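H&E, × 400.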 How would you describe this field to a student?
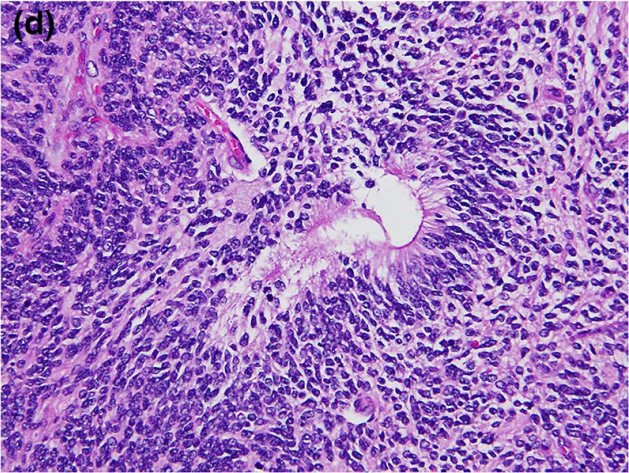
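This is immature neuroepithelium, a sheet of small primitive cells packed closely together. Their nuclei are dark purple, oval to elongated and crowded, with very little pink cytoplasm between them. In the centre the cells line up radially around a small clear lumen, forming a rosette that resembles the developing neural tube. Only a few thin blood vessels break up the dense cellular sheet.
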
